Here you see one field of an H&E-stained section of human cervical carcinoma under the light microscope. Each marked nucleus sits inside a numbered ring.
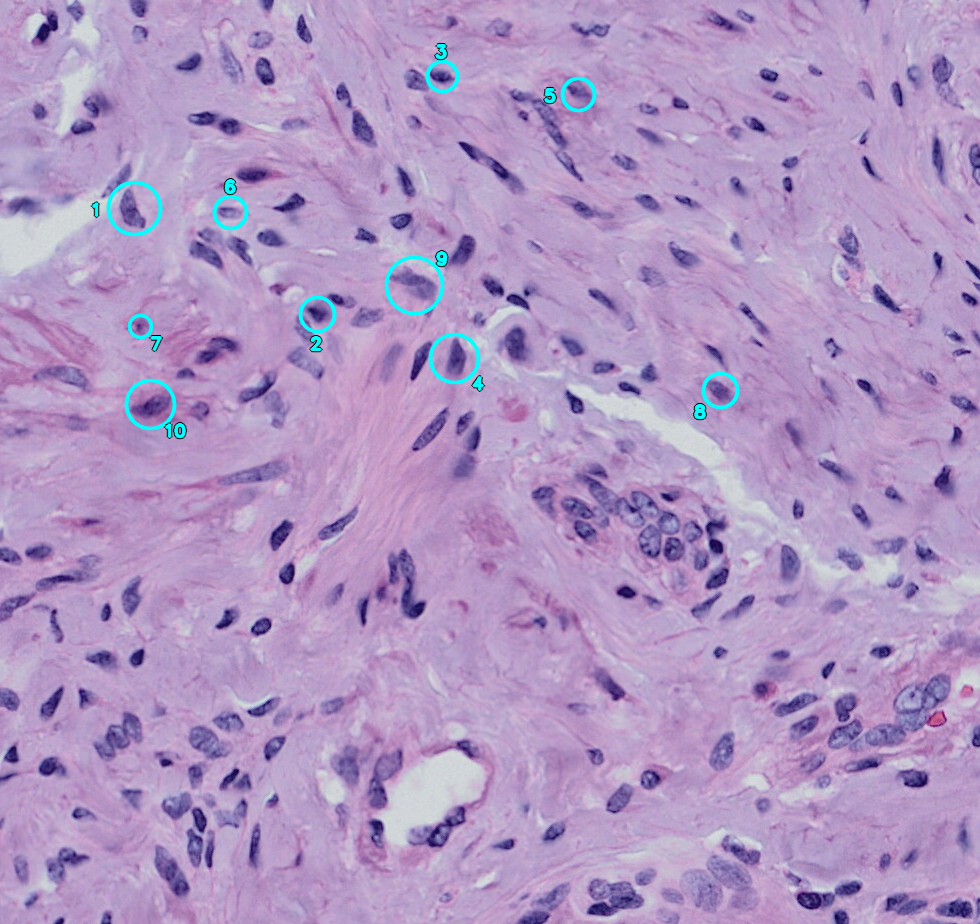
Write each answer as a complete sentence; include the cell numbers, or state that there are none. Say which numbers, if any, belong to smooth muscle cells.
The cells marked by the numbers 5, 7, 8 and 10 are smooth muscle cells.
